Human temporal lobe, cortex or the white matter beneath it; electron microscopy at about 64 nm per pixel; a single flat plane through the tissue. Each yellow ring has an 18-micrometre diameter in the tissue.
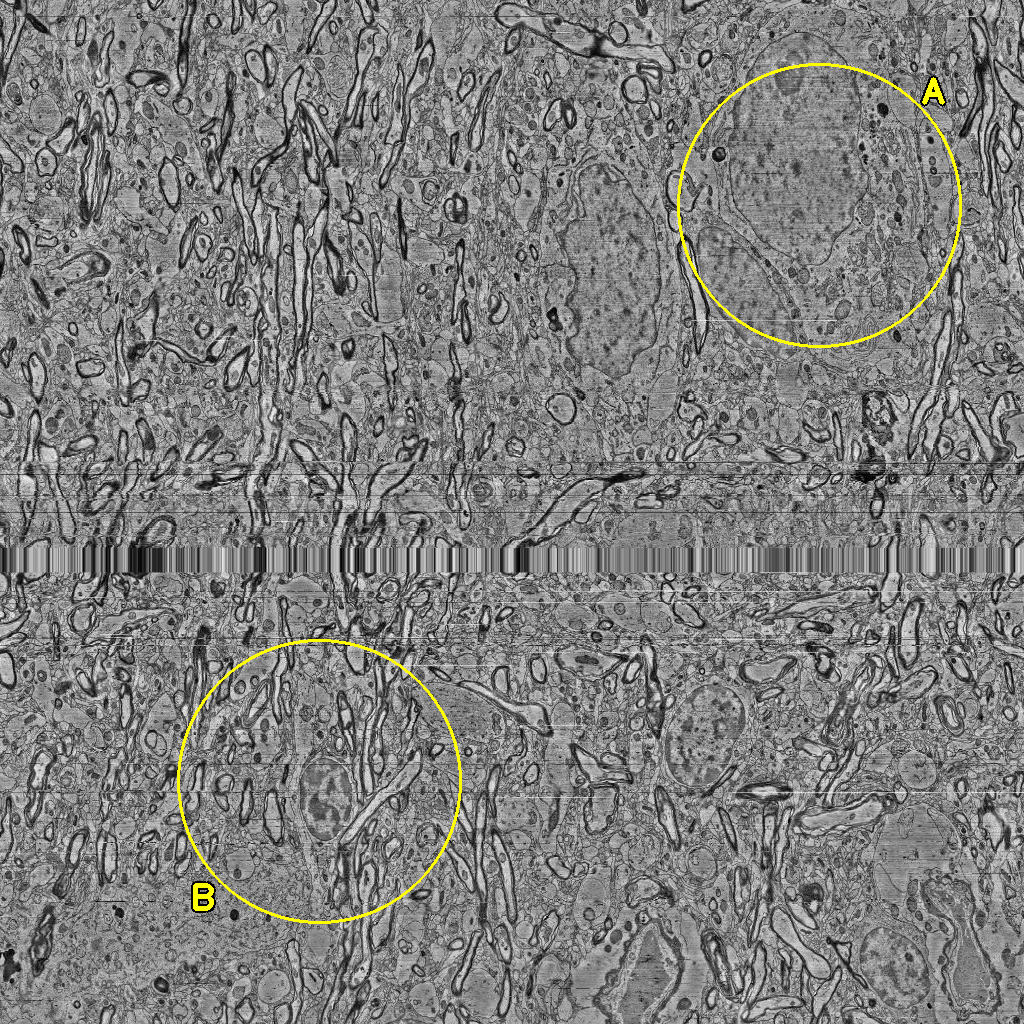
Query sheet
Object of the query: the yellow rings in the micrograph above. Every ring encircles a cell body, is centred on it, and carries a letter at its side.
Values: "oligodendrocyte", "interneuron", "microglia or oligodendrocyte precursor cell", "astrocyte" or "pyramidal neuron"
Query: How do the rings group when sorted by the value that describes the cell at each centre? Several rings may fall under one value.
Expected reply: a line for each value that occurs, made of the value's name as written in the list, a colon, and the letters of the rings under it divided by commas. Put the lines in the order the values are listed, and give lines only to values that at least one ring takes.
interneuron: A
microglia or oligodendrocyte precursor cell: B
